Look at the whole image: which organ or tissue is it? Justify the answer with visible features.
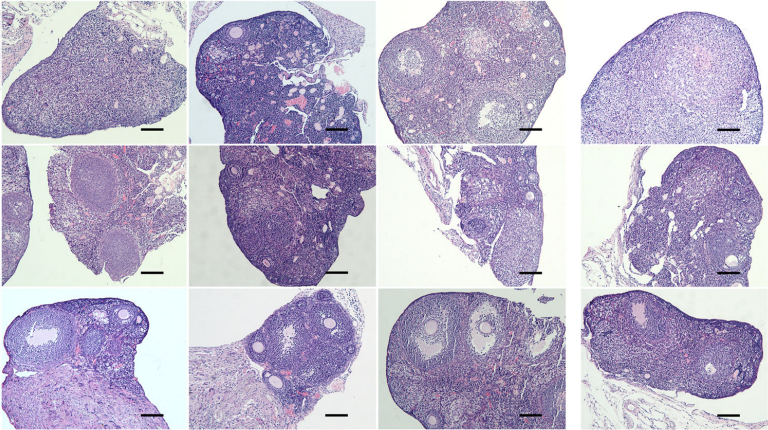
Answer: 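Compact purple-stained stroma forms rounded or oval pieces of tissue. Several images show round structures with a central cell surrounded by layers of cells. Some of these round structures contain a pale fluid-filled cavity. So: ovarian tissue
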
